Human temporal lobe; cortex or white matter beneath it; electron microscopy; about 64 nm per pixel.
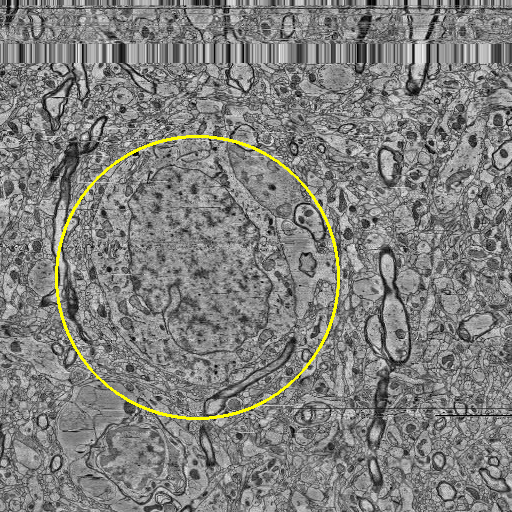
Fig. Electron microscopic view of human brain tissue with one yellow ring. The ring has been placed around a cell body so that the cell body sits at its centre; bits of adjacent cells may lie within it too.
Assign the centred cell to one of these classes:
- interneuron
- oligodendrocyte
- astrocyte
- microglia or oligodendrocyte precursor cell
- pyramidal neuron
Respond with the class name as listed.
pyramidal neuron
